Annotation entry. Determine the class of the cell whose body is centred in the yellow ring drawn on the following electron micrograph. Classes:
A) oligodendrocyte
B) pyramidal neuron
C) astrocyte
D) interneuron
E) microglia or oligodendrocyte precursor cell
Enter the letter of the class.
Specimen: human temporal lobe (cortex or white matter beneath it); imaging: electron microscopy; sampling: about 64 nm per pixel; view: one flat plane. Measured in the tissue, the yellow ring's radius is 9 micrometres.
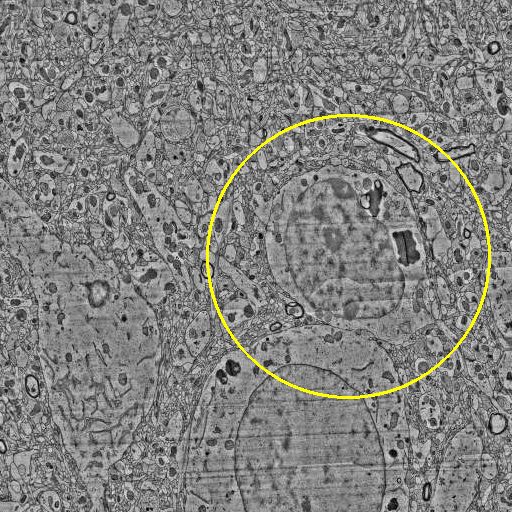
D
